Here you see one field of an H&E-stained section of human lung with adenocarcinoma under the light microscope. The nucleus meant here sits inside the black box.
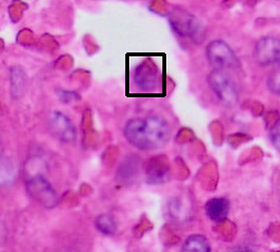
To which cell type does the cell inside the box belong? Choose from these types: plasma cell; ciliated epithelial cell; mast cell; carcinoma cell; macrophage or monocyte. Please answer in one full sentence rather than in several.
The category to which the cell inside the box belongs is that of a macrophage or monocyte.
